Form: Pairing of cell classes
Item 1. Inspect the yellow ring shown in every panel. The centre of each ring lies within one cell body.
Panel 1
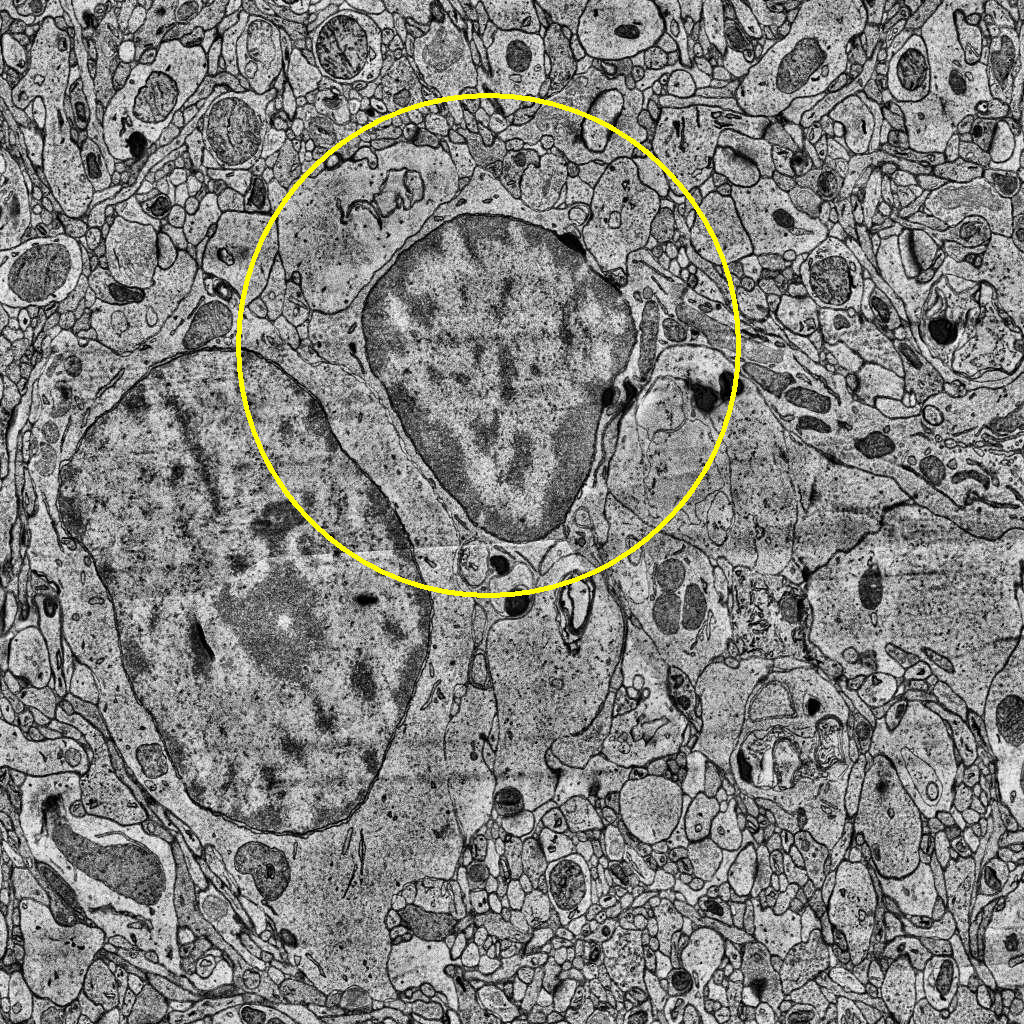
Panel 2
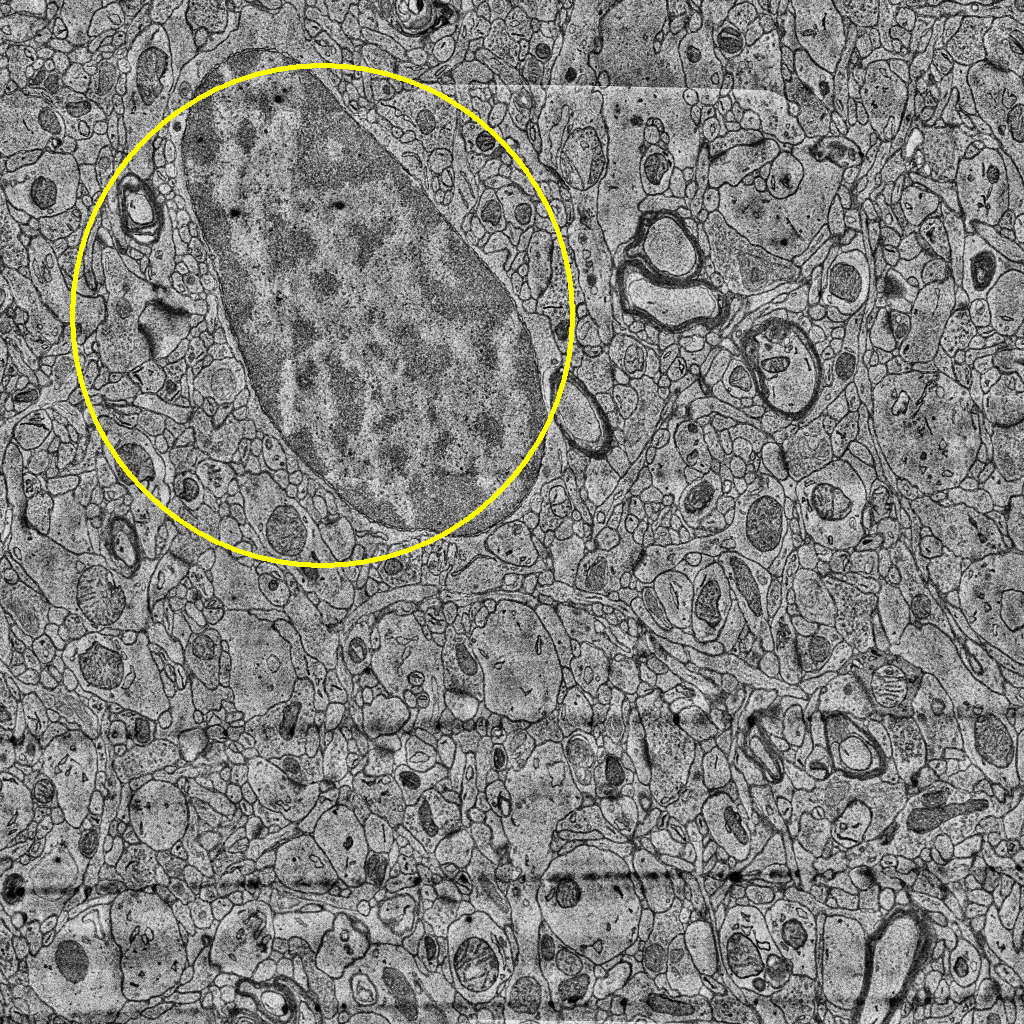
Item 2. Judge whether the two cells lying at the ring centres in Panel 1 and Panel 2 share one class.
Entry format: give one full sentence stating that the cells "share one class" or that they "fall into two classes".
The cells at the ring centres in Panel 1 and Panel 2 share one class.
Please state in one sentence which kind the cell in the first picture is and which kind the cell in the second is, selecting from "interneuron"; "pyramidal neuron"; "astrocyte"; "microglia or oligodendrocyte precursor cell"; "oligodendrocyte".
The cell at the ring centre is a microglial cell or oligodendrocyte precursor cell in both pictures.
